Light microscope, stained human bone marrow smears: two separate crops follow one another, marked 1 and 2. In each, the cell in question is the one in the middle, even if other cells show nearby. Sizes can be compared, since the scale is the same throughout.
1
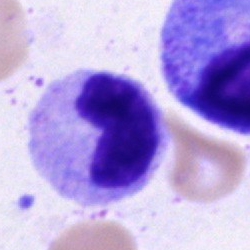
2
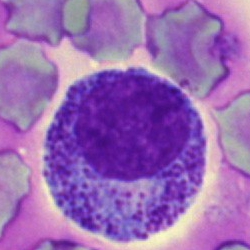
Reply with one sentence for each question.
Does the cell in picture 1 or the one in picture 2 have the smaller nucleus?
Picture 1 shows the smaller nucleus, since that in picture 2 covers about 2 times as much area.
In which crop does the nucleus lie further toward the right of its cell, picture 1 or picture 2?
Seen within its cell, the nucleus in picture 1 lies further toward the right.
